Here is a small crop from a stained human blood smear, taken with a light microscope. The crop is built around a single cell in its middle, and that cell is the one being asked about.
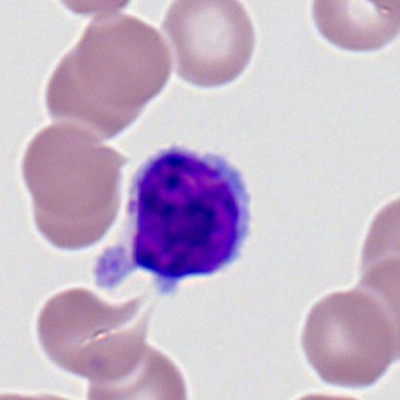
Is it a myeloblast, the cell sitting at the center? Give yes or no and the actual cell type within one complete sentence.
No, the cell in the middle is not a myeloblast but a lymphocyte.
